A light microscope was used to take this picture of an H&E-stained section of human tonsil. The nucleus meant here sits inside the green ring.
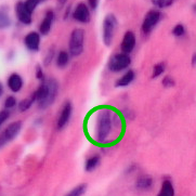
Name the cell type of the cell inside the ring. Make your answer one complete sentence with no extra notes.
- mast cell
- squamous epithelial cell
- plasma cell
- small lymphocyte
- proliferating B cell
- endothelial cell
In this tissue section, the cell inside the ring is to be classed as an endothelial cell.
